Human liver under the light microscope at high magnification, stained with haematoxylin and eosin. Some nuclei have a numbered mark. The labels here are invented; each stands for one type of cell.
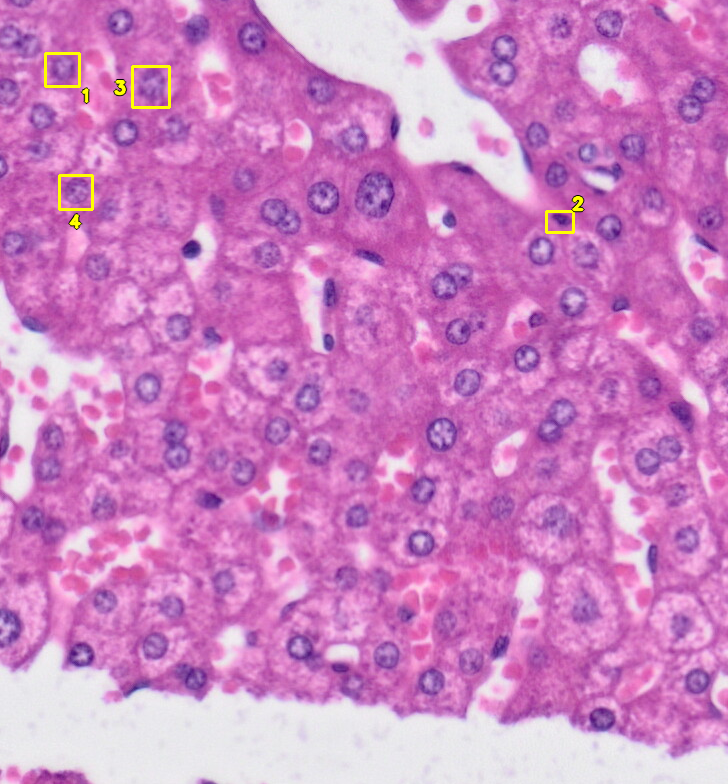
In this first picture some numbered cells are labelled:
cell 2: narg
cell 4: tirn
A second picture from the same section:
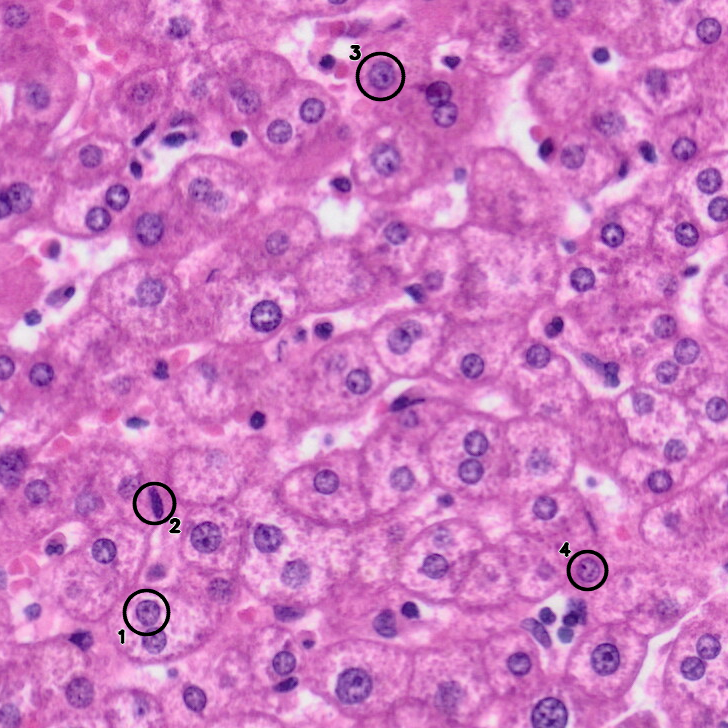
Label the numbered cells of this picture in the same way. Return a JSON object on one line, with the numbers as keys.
{"1": "tirn", "2": "narg", "3": "tirn", "4": "tirn"}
